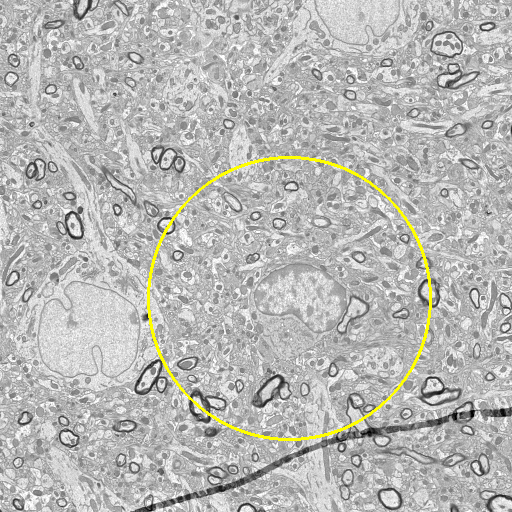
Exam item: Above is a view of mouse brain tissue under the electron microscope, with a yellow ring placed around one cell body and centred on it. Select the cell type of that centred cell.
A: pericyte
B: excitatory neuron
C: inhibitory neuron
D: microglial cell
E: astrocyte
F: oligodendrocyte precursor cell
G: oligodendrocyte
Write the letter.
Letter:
G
